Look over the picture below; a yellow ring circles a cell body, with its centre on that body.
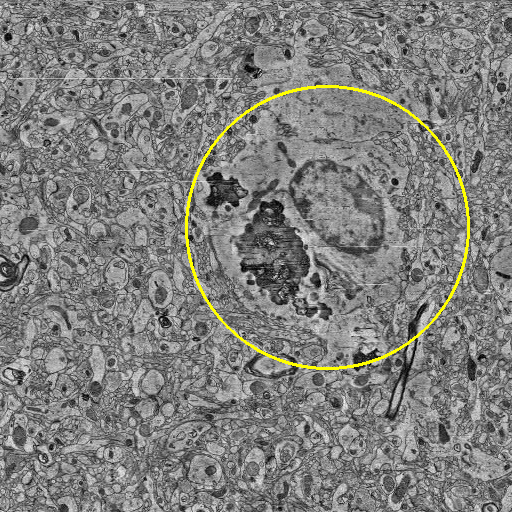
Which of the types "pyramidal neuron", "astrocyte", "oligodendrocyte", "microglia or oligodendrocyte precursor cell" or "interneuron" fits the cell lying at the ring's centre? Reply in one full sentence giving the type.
The picture shows an astrocyte at the centre of the yellow ring.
